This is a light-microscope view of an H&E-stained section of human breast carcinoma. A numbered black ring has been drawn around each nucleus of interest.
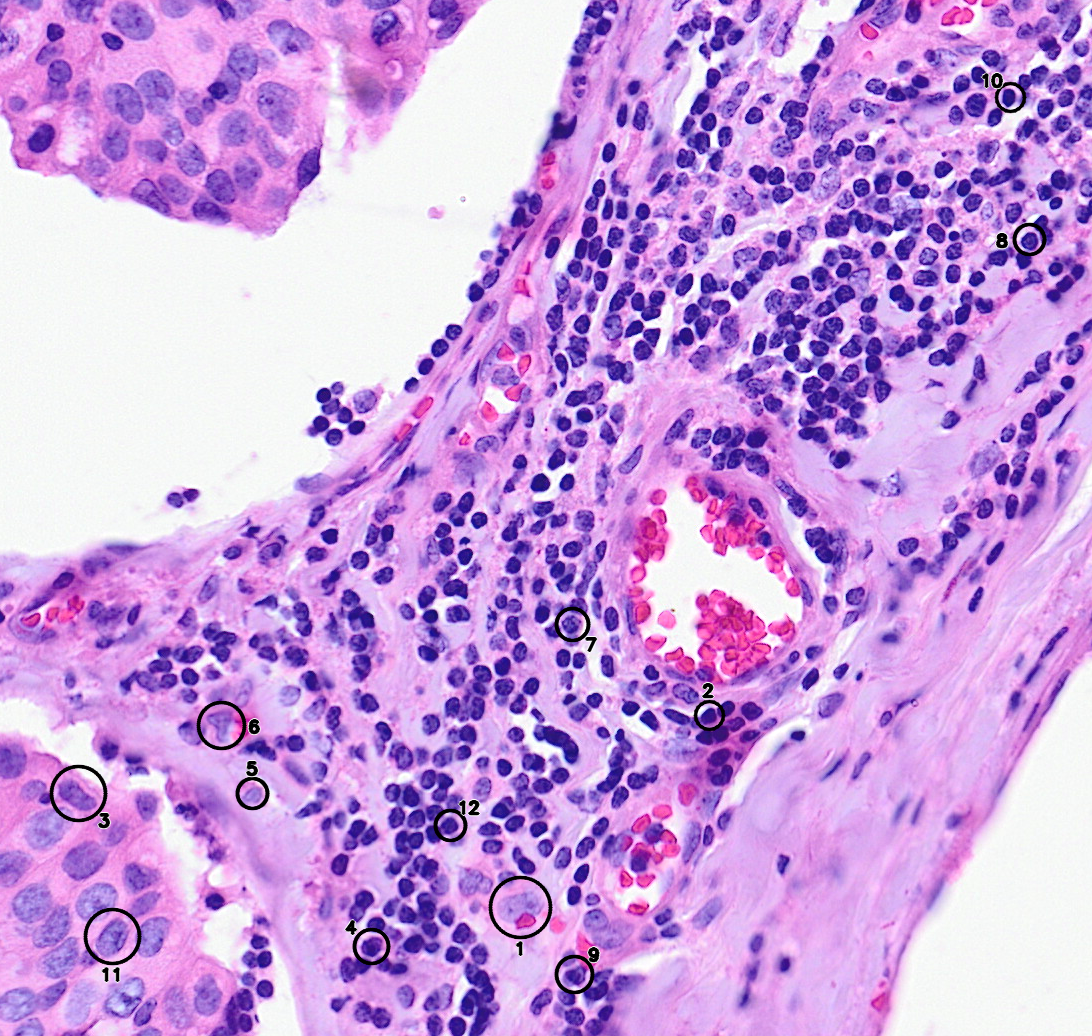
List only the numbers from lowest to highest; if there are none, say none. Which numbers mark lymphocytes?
2, 4, 7, 8, 9, 10, 12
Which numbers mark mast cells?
5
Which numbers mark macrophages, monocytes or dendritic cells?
none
